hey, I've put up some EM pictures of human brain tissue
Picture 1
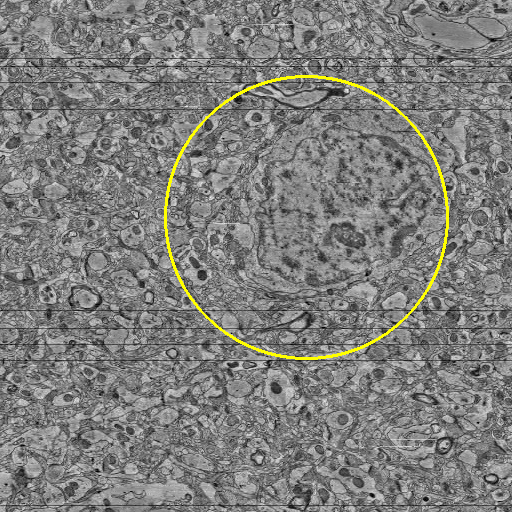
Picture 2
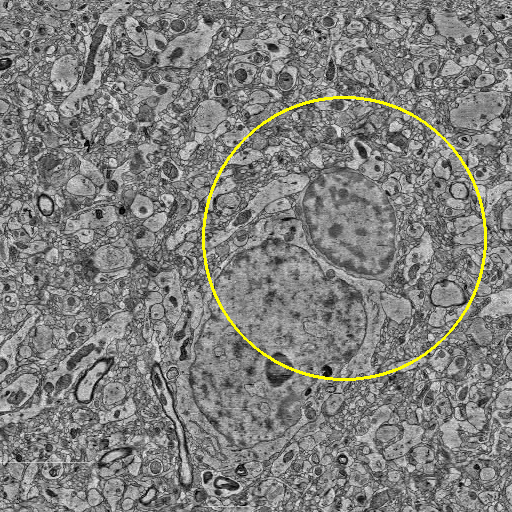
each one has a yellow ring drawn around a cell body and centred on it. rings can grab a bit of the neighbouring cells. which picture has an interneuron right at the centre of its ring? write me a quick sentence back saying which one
It's Picture 1.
